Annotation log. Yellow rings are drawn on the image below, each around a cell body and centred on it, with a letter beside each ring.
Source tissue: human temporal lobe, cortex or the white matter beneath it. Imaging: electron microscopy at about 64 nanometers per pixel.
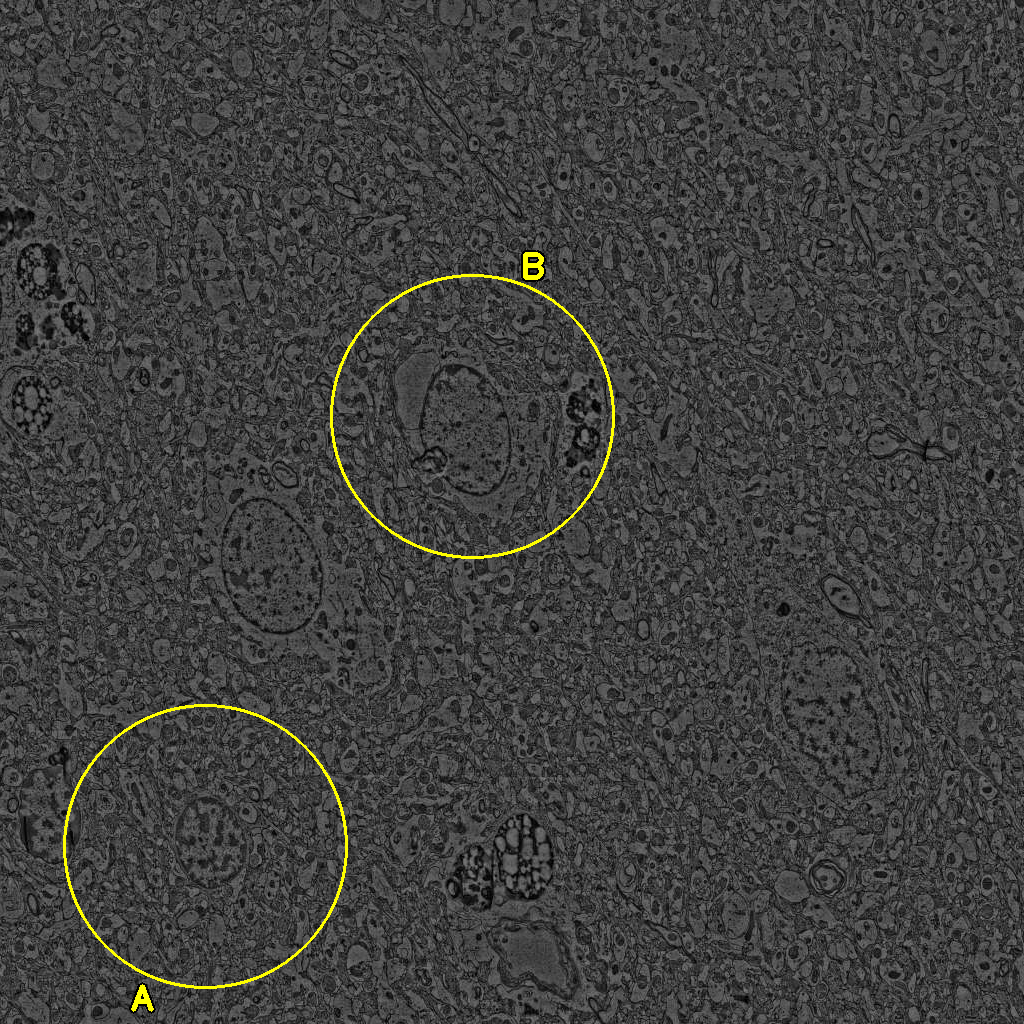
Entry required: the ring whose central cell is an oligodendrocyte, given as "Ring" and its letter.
Ring A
